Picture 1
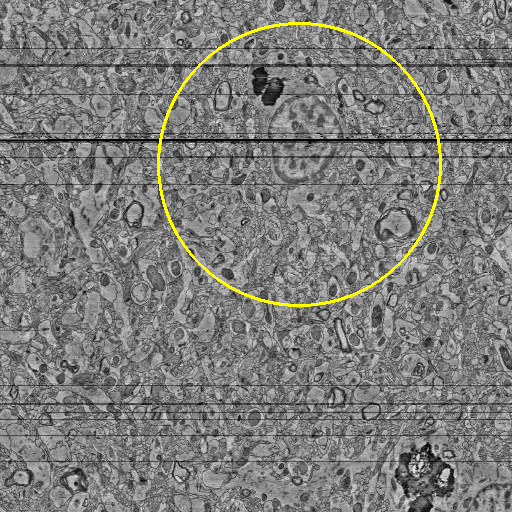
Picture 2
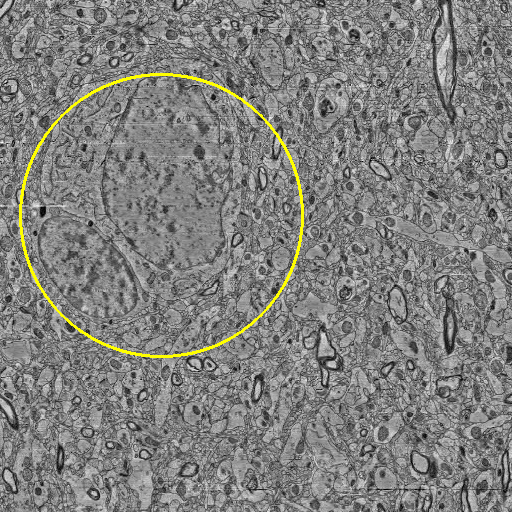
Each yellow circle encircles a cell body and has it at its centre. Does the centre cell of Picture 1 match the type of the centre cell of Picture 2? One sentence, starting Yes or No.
No, the cell centred in Picture 1 and the one in Picture 2 have separate types.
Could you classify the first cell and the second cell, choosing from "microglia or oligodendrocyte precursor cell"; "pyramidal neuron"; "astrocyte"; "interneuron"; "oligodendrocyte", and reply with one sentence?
The second cell is an interneuron, while the first is an oligodendrocyte.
